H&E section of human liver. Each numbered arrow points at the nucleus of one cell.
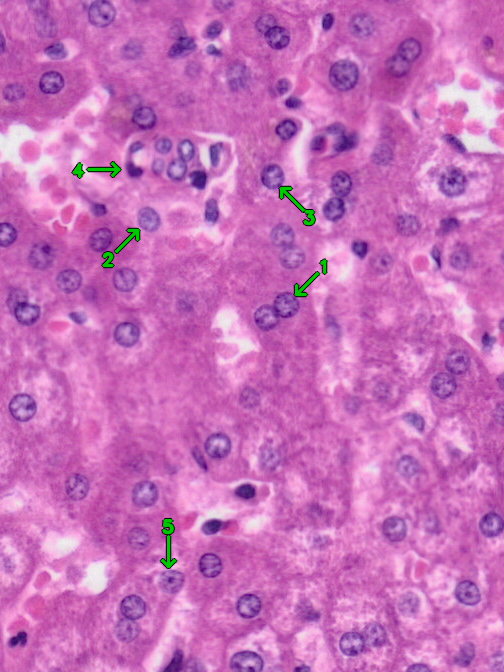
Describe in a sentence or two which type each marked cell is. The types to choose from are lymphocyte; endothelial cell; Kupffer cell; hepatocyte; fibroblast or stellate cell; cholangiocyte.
Cell 1 is a hepatocyte, cell 2 is a cholangiocyte, cell 3 is a hepatocyte, cell 4 is a fibroblast or stellate cell and cell 5 is a hepatocyte.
